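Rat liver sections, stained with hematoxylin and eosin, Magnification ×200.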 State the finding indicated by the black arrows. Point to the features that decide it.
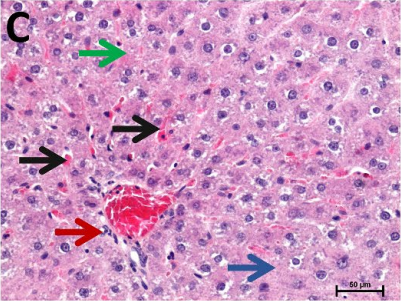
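The black arrows point at narrow spaces between hepatocyte plates filled with bright red material. The red-filled spaces lie between cords of hepatocytes, not within cells. The answer: congestion.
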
